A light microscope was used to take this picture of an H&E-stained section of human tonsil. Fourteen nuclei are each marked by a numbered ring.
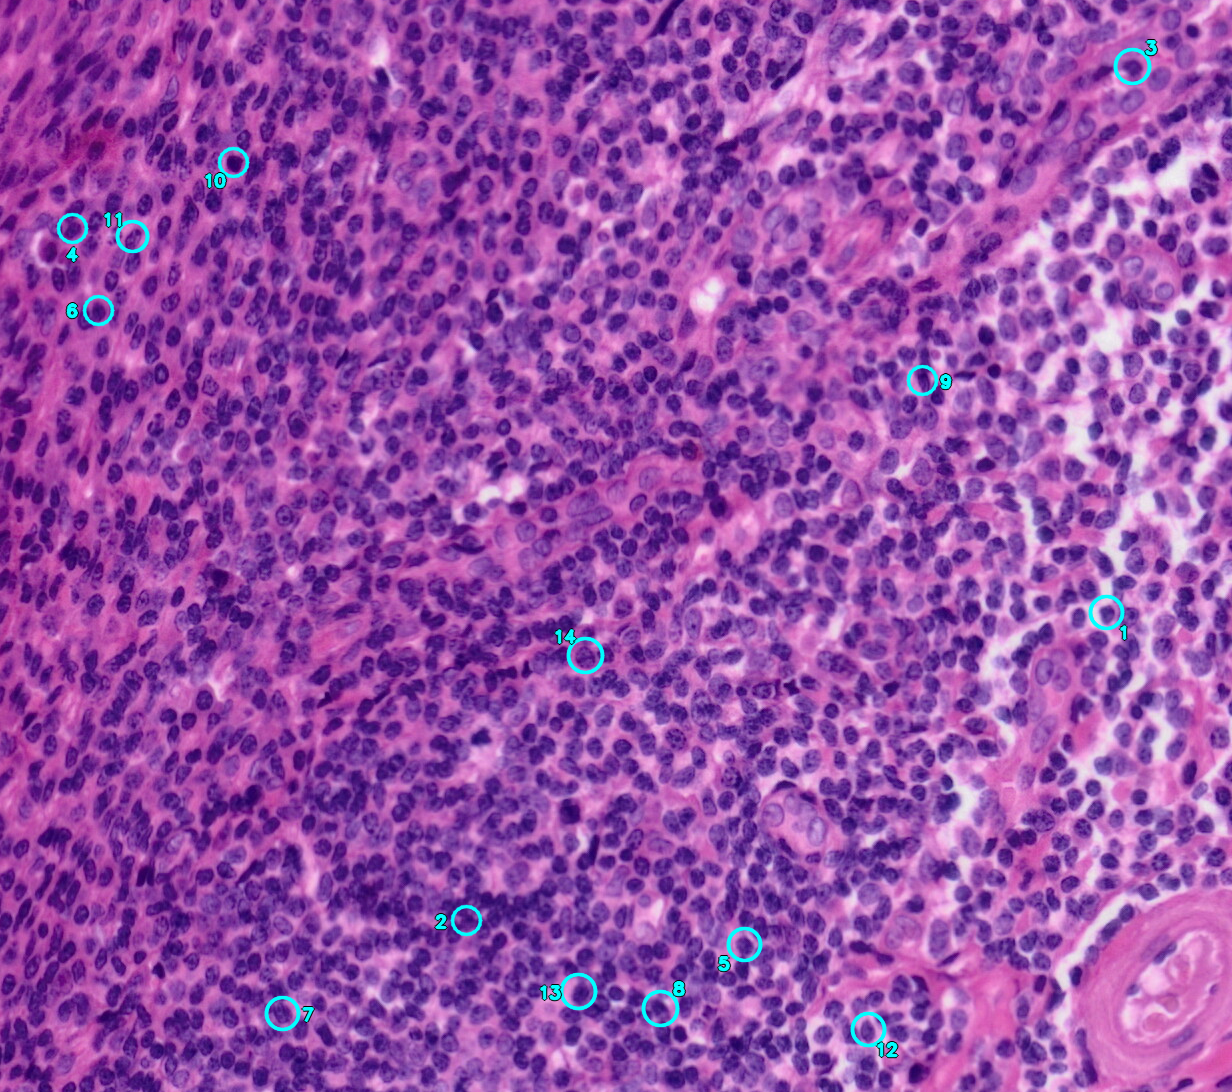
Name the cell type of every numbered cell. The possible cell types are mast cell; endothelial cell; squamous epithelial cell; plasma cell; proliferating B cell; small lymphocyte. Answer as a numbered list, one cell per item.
1. small lymphocyte
2. small lymphocyte
3. endothelial cell
4. plasma cell
5. small lymphocyte
6. plasma cell
7. small lymphocyte
8. small lymphocyte
9. small lymphocyte
10. plasma cell
11. plasma cell
12. small lymphocyte
13. small lymphocyte
14. plasma cell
